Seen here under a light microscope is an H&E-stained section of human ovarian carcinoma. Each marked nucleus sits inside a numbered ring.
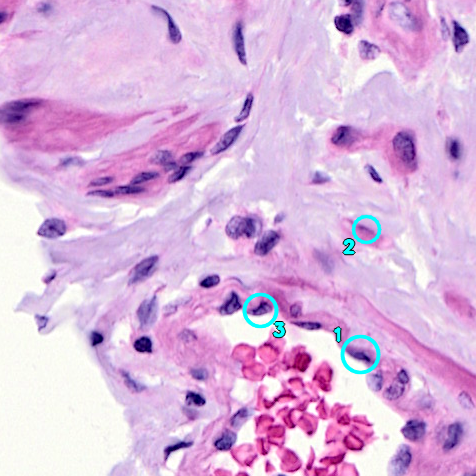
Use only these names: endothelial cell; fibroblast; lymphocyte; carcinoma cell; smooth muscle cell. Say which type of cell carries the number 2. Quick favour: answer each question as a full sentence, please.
Here, the cell given the number 2 is a smooth muscle cell.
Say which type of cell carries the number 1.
The cell that is numbered 1 is an endothelial cell.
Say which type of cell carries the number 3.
Of the numbered cells, the one labelled 3 is an endothelial cell.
